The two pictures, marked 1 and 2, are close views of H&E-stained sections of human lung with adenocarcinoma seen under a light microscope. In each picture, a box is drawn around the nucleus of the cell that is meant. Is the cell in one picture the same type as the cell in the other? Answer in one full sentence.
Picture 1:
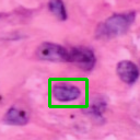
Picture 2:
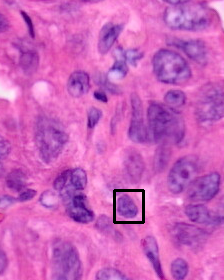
No, the types are not the same, since picture 1 shows a mast cell and picture 2 a lymphocyte.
